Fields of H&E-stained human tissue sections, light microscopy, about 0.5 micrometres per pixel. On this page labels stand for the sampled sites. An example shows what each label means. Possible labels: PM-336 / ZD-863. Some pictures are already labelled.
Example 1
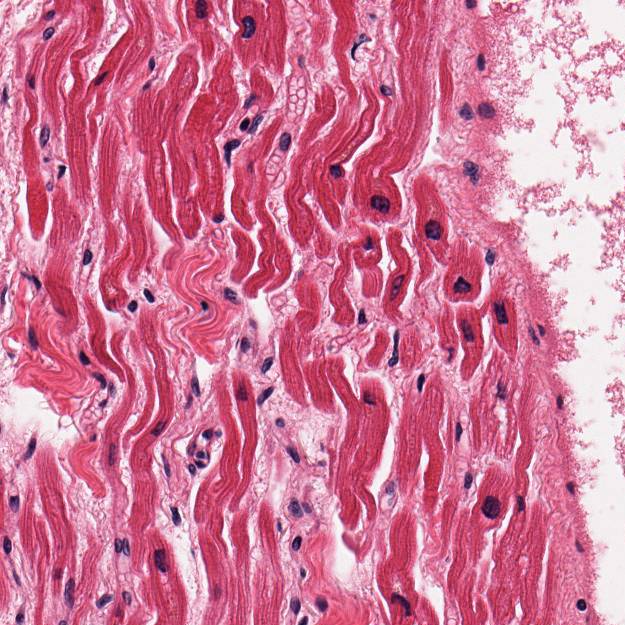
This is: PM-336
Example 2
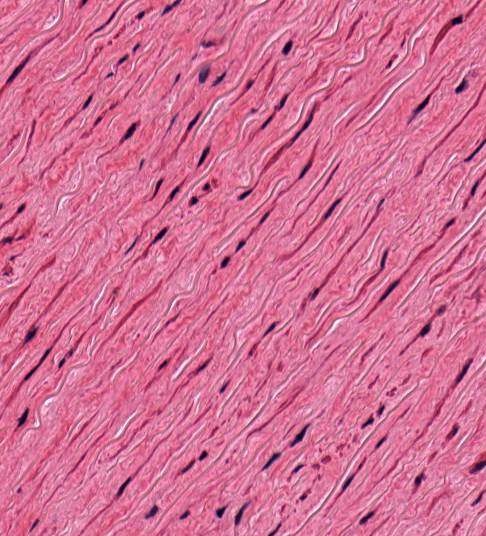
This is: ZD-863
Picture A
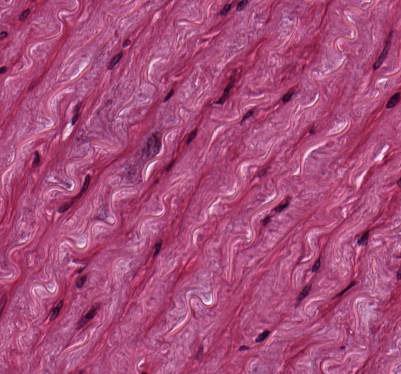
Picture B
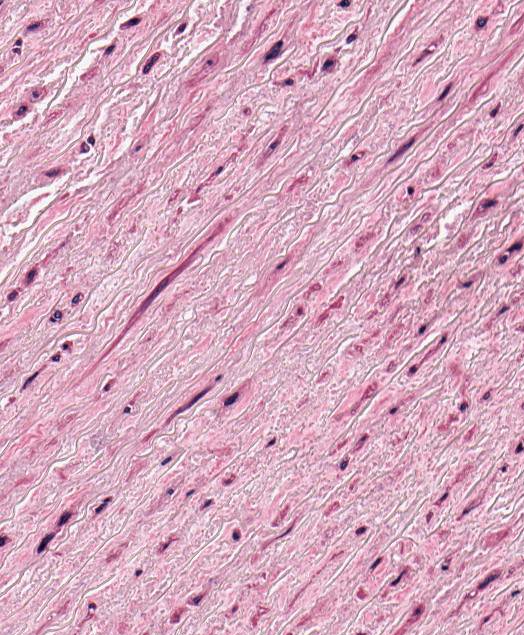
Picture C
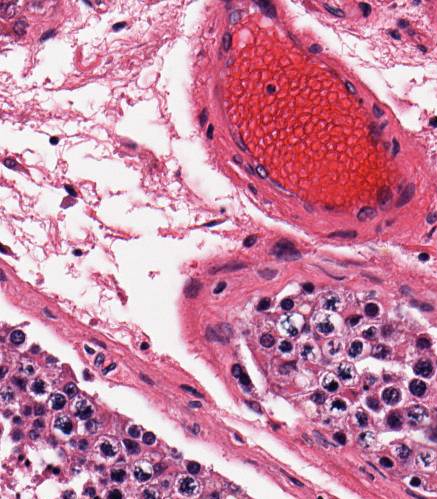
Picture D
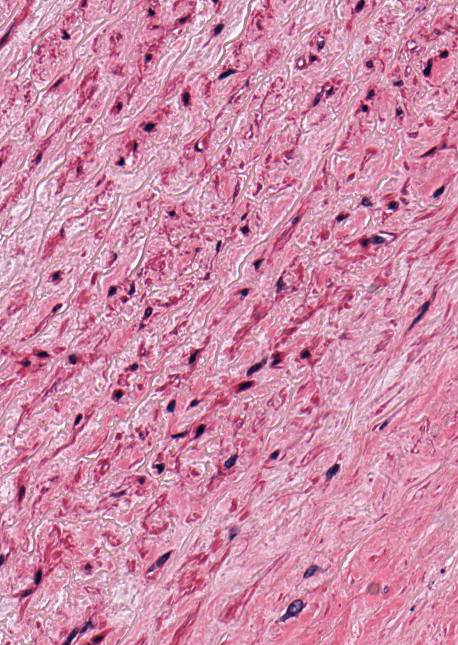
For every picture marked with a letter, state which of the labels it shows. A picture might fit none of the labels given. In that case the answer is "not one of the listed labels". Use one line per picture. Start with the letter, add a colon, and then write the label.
A: ZD-863
B: ZD-863
C: not one of the listed labels
D: ZD-863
